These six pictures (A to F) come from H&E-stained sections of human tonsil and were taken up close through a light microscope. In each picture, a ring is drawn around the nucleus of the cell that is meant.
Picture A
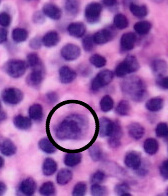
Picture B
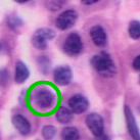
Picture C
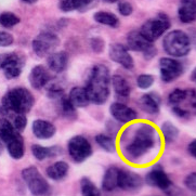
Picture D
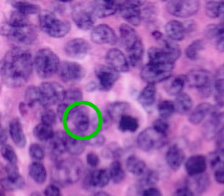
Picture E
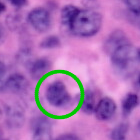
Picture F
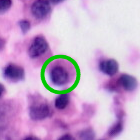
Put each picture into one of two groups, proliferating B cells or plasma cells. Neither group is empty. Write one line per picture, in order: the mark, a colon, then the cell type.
A: proliferating B cell
B: plasma cell
C: proliferating B cell
D: proliferating B cell
E: proliferating B cell
F: plasma cell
